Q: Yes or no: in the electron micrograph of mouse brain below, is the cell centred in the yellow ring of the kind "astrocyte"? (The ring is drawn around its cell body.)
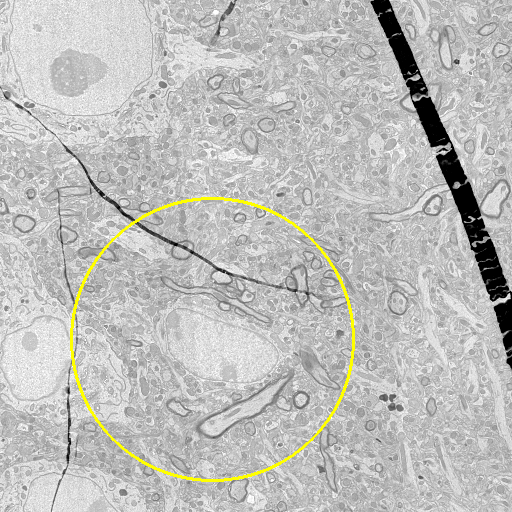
yes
